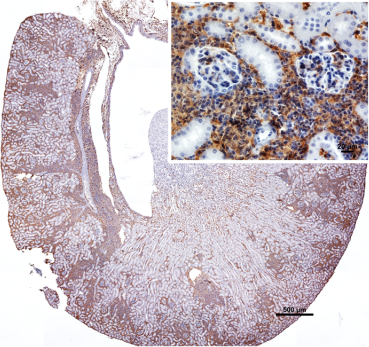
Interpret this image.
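A section of kidney is shown, whole at low power with a higher-power inset of cortex containing glomeruli and tubules. At low power the cortex and medulla are both tinged brown, with the brown concentrated in the cortex and outer parts. In the inset two round glomeruli lie among pale tubules, and the spaces between them are packed with many small cells with dark blue nuclei. Numerous of these interstitial cells carry brown cytoplasm, forming dense sheets and clusters between tubules and around the glomeruli. The tubular epithelium itself is largely pale, and the crowded interstitium indicates a heavy cellular infiltrate.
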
